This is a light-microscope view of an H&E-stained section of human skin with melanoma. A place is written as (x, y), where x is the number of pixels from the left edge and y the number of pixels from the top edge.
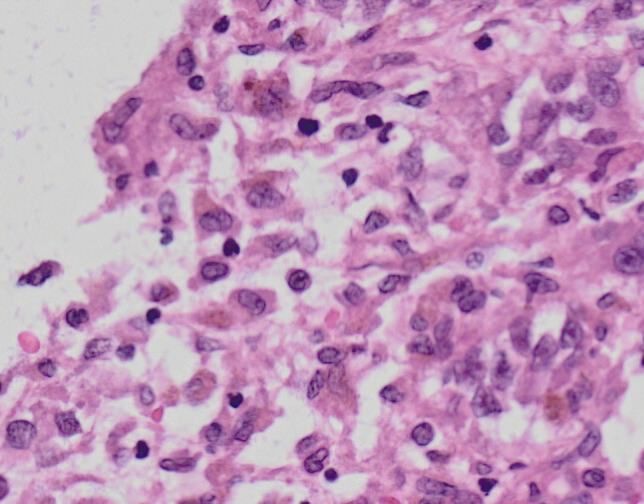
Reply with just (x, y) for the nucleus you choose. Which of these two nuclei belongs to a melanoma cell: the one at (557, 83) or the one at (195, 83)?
(557, 83)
